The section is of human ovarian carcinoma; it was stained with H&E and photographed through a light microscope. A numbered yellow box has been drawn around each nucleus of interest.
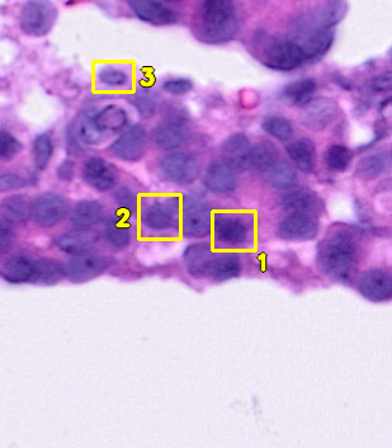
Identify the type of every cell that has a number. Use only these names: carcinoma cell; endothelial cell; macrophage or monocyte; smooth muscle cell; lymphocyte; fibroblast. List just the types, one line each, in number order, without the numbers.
carcinoma cell
carcinoma cell
macrophage or monocyte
